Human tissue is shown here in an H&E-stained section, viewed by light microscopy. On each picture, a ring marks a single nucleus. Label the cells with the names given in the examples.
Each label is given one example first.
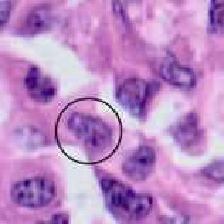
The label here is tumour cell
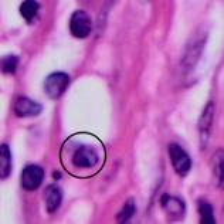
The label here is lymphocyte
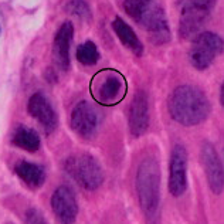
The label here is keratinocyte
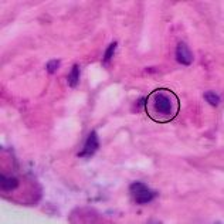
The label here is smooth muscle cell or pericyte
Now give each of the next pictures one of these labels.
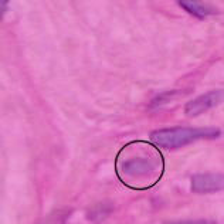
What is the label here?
smooth muscle cell or pericyte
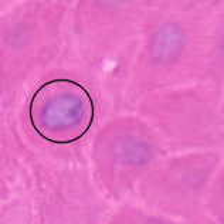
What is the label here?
keratinocyte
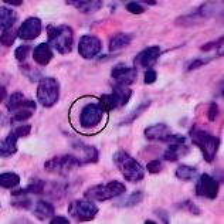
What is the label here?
lymphocyte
